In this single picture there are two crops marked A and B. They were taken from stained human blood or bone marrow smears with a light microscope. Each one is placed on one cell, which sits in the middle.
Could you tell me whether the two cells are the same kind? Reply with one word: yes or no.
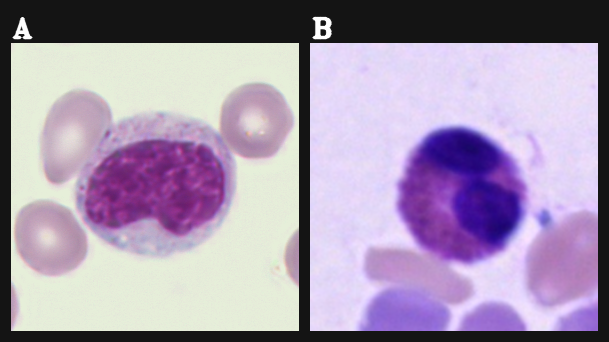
no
